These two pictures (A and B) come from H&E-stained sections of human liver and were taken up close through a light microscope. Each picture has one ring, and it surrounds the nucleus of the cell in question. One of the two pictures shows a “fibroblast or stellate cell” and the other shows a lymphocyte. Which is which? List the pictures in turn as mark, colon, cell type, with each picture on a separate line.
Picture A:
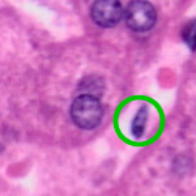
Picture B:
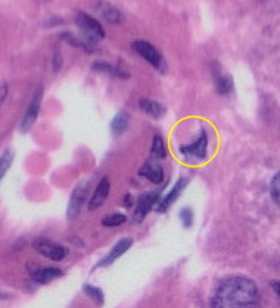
A: lymphocyte
B: fibroblast or stellate cell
